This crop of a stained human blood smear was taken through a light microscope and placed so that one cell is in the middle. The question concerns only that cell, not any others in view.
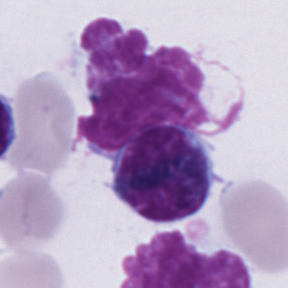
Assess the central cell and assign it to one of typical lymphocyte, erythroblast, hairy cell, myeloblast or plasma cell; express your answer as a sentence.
The cell at the middle of the crop is recognized as a myeloblast.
